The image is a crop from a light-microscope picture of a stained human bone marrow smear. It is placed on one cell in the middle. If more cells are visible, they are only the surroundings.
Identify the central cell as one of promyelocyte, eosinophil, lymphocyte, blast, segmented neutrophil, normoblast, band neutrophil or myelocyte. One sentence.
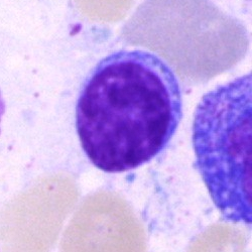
The cell at the centre of the field is a lymphocyte.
